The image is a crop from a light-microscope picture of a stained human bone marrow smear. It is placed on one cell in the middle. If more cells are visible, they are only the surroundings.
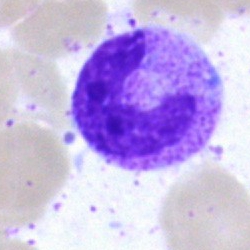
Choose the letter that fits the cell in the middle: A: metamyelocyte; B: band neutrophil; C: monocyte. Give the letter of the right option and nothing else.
A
